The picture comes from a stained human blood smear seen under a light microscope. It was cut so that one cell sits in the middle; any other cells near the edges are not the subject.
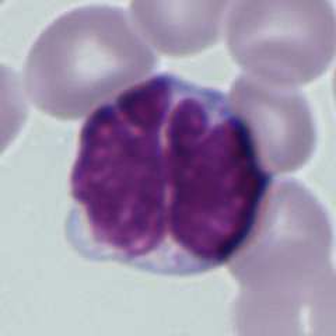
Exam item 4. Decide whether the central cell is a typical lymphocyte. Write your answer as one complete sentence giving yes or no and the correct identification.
No, not a typical lymphocyte but a large granular lymphocyte is the cell in the centre.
